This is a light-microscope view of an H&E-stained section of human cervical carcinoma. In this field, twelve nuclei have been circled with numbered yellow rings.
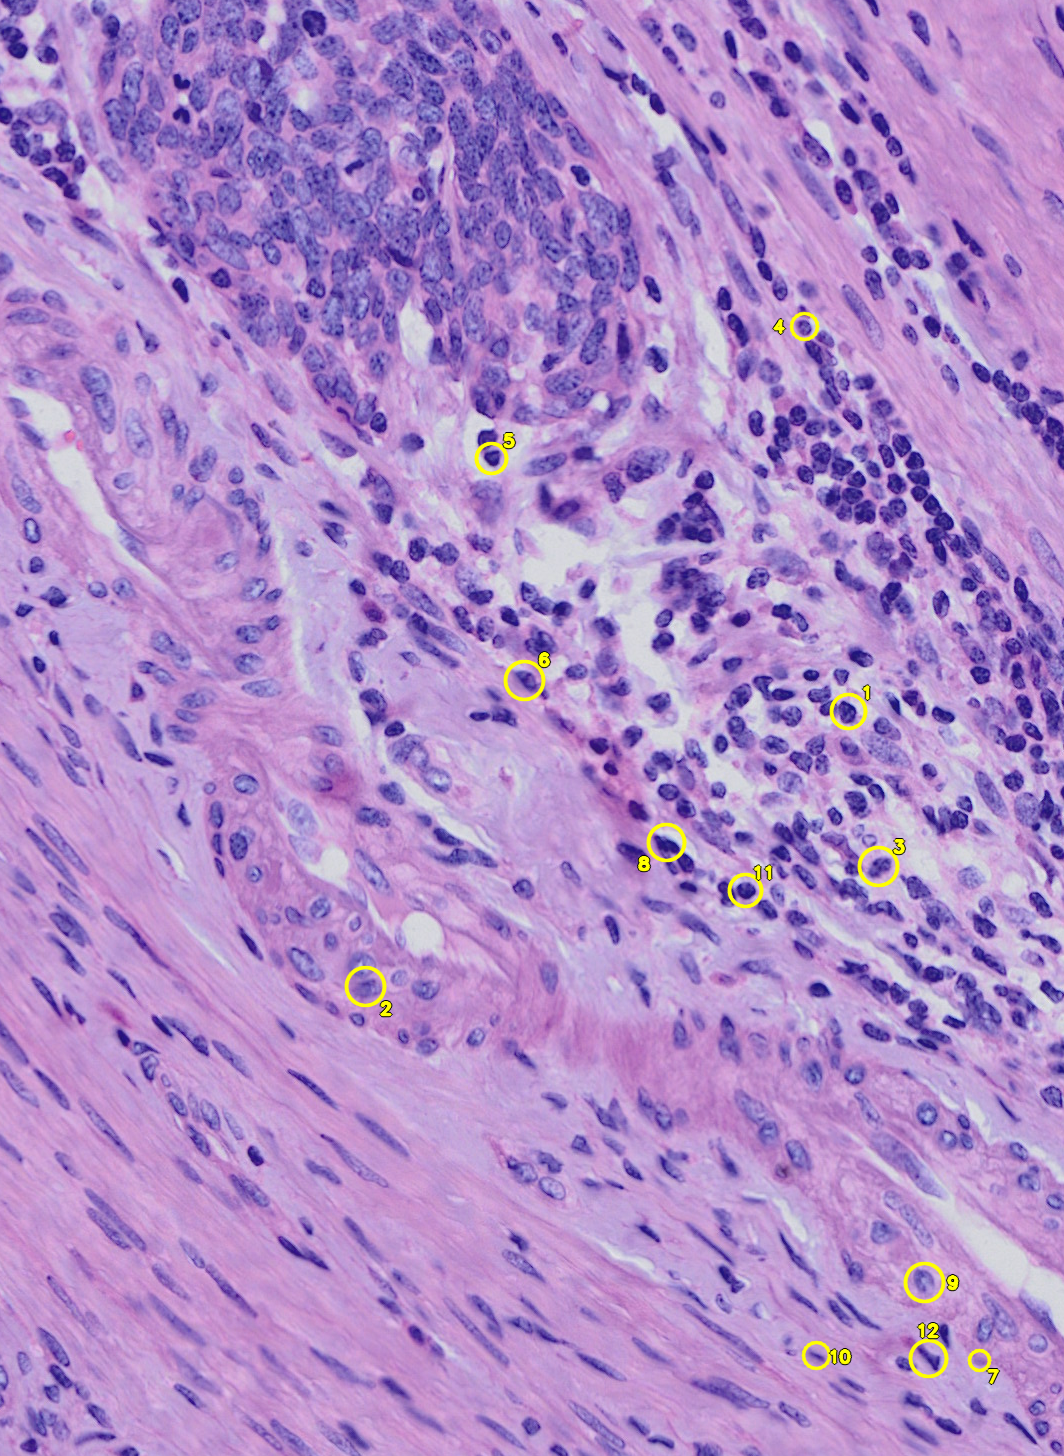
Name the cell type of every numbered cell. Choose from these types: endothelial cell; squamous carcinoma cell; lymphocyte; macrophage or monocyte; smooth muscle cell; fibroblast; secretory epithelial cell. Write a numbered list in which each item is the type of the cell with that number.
1. lymphocyte
2. smooth muscle cell
3. lymphocyte
4. lymphocyte
5. lymphocyte
6. lymphocyte
7. smooth muscle cell
8. lymphocyte
9. smooth muscle cell
10. fibroblast
11. lymphocyte
12. fibroblast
